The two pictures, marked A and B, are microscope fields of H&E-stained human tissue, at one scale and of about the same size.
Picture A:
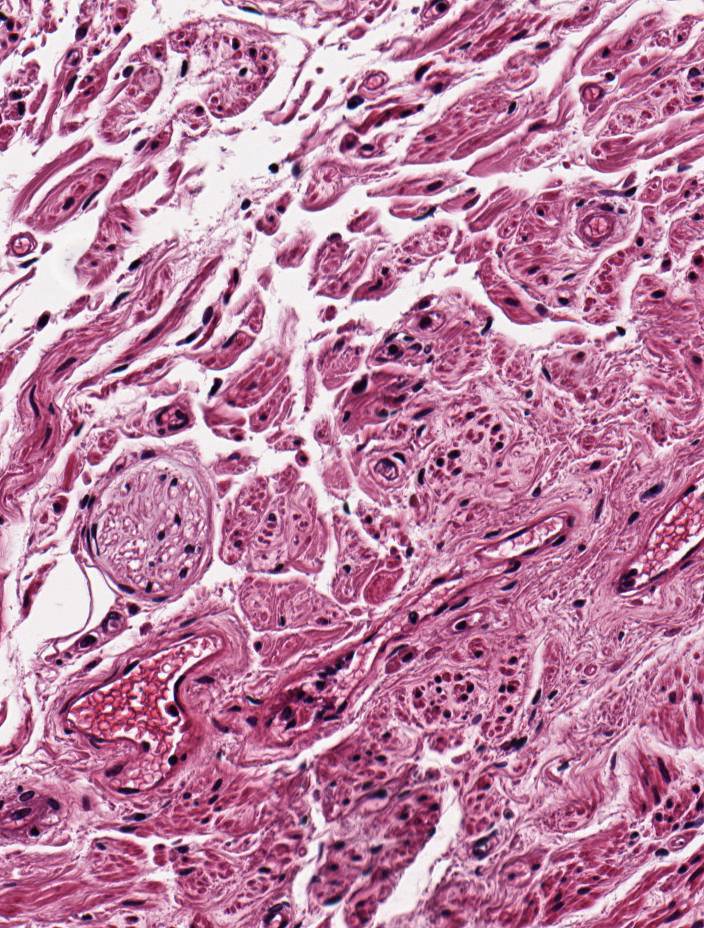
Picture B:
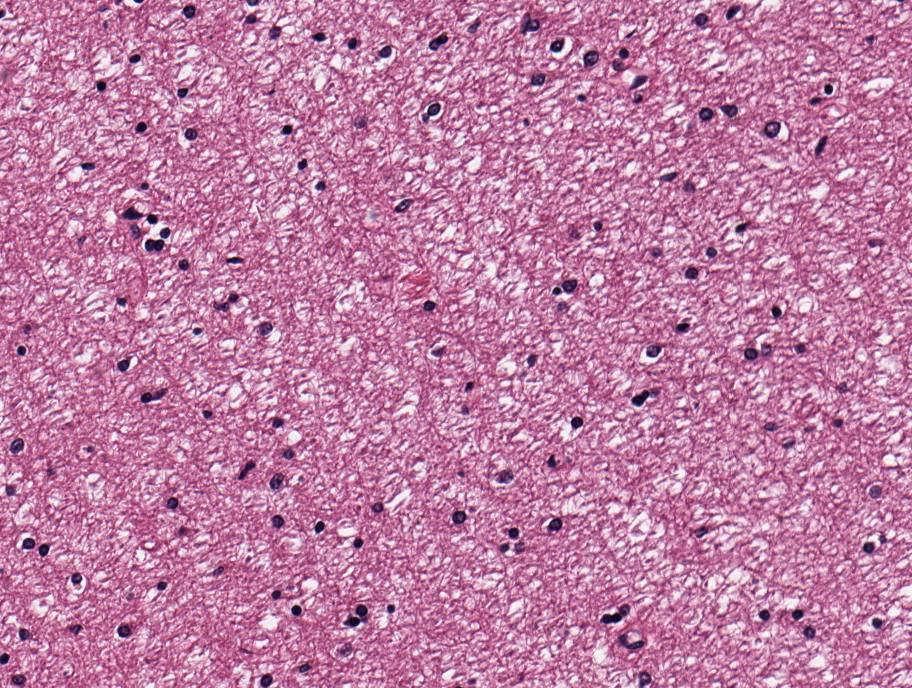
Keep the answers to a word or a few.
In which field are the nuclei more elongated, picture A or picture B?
A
